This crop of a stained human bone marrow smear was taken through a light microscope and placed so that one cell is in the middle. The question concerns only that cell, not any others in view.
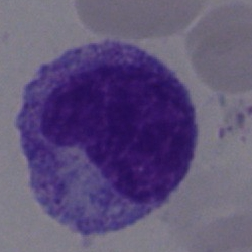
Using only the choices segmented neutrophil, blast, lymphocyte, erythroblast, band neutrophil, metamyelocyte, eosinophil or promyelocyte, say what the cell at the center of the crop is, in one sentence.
This particular crop is centered on a metamyelocyte.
